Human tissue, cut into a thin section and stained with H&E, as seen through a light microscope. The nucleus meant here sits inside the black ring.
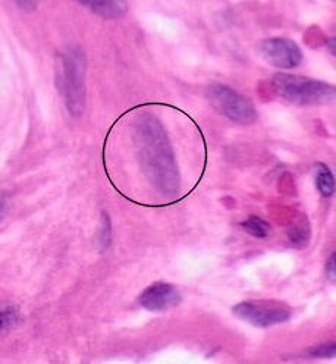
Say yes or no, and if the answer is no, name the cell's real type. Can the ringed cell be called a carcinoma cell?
No, it is a fibroblast.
